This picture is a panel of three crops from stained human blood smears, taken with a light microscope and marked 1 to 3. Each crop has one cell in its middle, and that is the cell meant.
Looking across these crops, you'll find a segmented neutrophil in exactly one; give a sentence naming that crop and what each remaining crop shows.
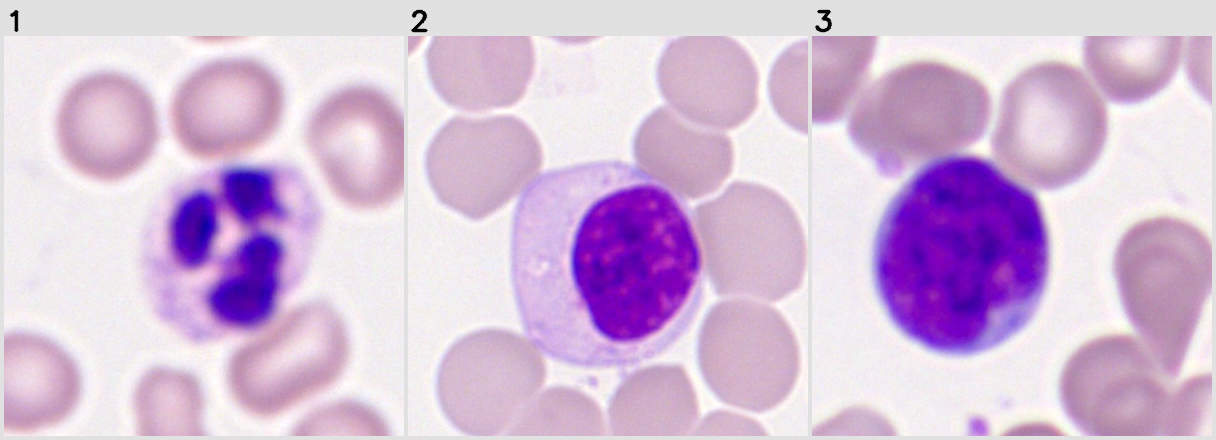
The crop labelled 1 shows a segmented neutrophil, whereas crop 2 is a lymphocyte and crop 3 is a myeloblast.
